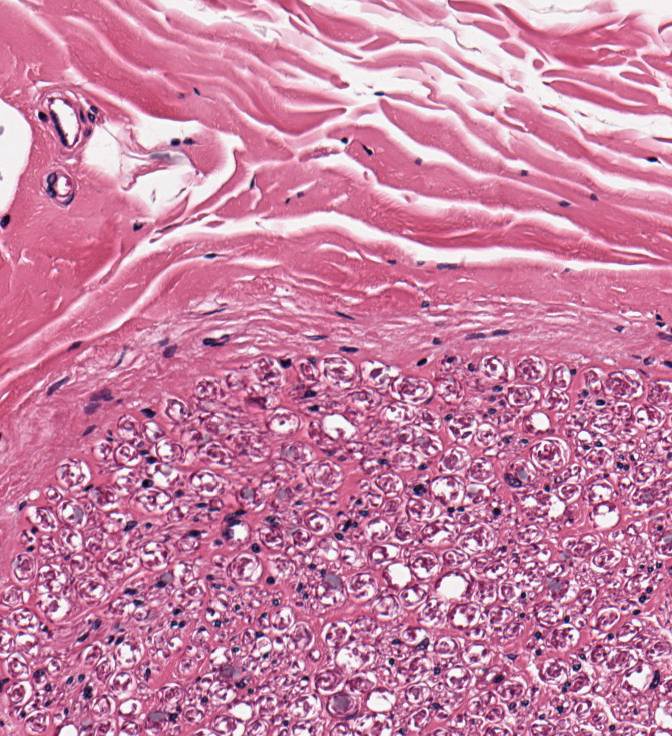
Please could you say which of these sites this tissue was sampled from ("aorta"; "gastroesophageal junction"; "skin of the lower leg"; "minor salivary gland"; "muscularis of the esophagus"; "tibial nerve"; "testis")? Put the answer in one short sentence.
The site this tissue was sampled from is the tibial nerve.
